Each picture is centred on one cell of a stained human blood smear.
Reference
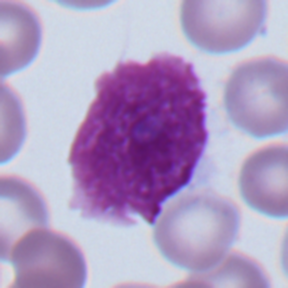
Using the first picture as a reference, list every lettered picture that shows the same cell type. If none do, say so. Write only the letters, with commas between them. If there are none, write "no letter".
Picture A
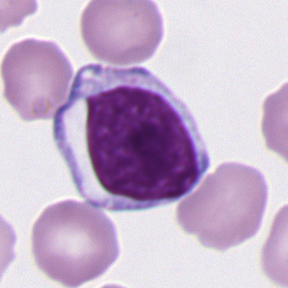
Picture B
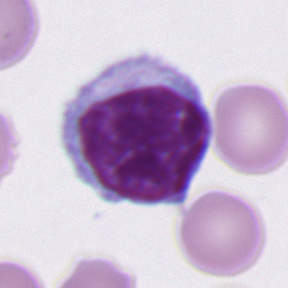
no letter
